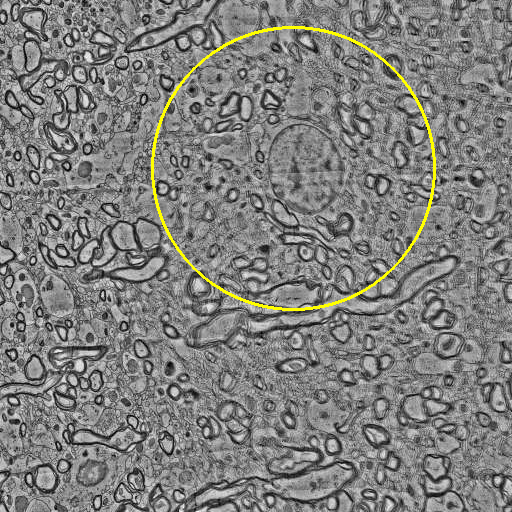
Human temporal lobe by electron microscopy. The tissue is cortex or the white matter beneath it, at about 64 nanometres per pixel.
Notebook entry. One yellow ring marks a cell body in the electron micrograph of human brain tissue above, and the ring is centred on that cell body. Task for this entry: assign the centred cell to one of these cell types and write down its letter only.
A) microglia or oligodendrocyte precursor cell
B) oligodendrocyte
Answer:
A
